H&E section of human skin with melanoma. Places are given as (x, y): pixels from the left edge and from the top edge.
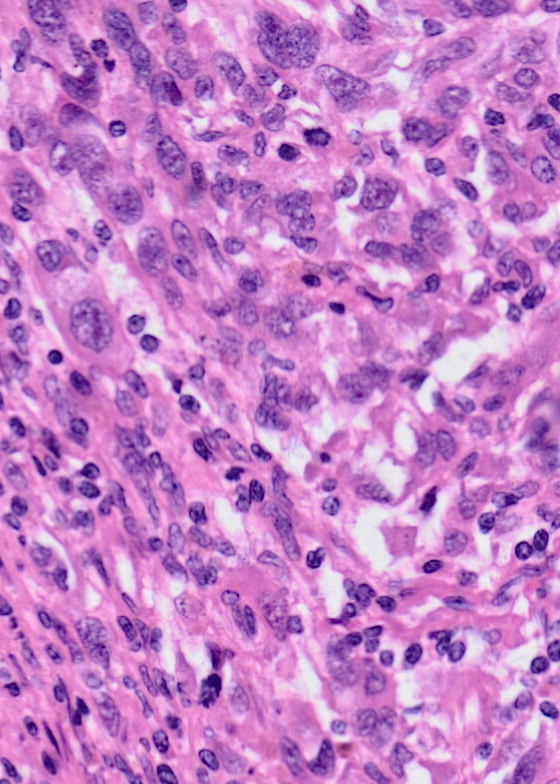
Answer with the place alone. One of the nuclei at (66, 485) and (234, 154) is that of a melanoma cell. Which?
(234, 154)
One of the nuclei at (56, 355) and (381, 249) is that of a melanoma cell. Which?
(381, 249)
